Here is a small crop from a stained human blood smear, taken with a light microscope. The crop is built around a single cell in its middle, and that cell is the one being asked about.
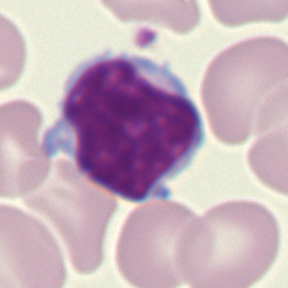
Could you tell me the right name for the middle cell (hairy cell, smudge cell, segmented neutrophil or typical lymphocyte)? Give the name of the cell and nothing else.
typical lymphocyte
